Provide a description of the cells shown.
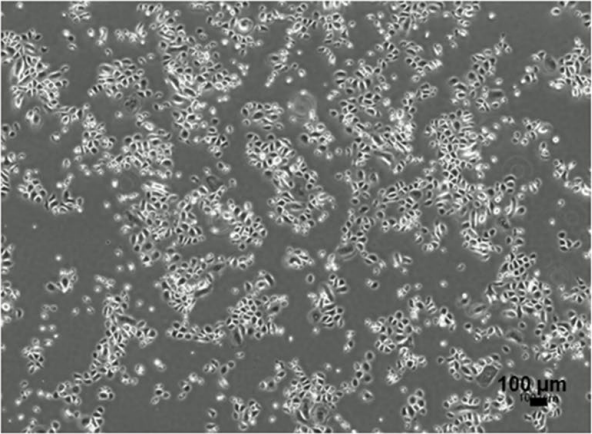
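Cells form irregular, cohesive islands and branching clusters of closely packed polygonal cells with bright phase halos at their borders; within clusters cells abut one another in a cobblestone-like arrangement. Numerous small, rounded, refractile cells lie singly or in small groups in the open spaces between islands. Roughly half of the grey substrate is covered, leaving wide cell-free areas between clusters.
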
